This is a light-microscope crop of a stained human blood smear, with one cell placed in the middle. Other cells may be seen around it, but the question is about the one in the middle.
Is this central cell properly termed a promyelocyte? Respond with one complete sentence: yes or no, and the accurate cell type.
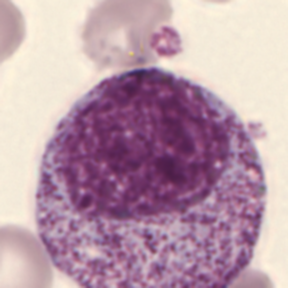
Yes, the cell shown in the middle is a promyelocyte.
